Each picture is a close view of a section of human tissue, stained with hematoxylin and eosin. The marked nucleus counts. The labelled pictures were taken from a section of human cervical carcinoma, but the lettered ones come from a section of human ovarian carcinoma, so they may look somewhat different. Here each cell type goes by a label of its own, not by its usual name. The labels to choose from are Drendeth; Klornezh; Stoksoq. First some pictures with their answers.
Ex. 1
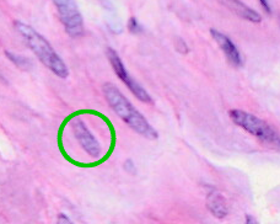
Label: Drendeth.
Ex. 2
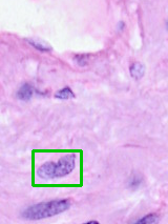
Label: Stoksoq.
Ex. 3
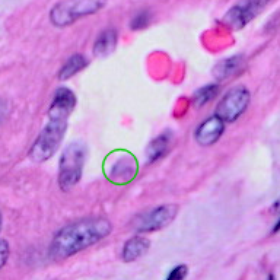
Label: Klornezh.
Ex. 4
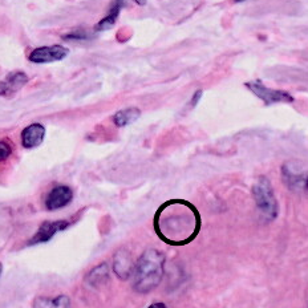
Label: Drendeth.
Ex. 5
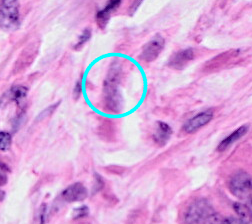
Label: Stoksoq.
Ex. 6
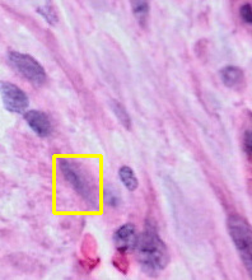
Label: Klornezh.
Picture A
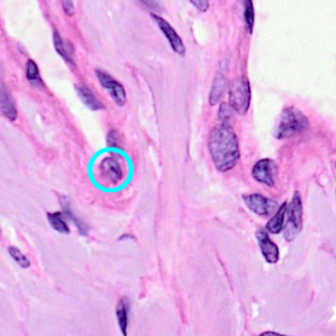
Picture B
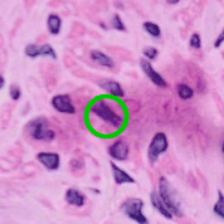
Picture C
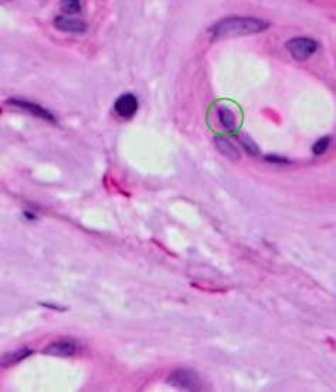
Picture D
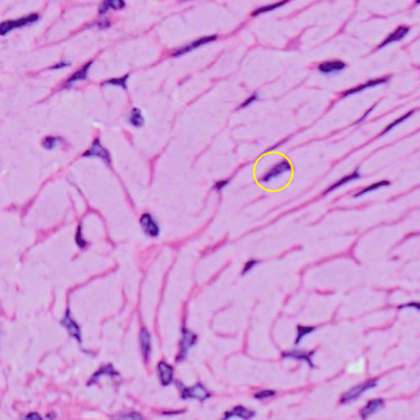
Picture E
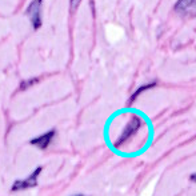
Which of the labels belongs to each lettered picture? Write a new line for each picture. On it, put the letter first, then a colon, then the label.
A: Klornezh.
B: Drendeth.
C: Klornezh.
D: Stoksoq.
E: Stoksoq.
